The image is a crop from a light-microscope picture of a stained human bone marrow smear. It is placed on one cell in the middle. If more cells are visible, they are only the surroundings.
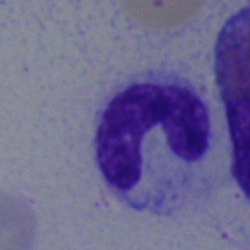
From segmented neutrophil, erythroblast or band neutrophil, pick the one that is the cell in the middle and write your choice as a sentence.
The cell of interest, in the center, is a band neutrophil.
